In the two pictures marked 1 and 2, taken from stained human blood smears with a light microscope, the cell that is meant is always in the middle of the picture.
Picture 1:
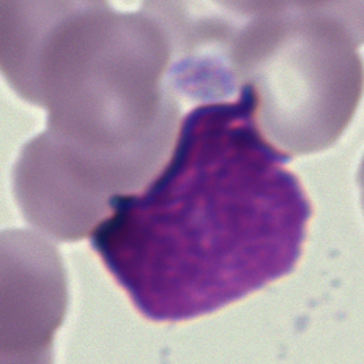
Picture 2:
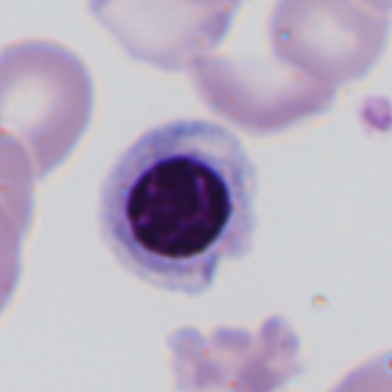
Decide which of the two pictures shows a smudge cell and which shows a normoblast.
1: smudge cell
2: normoblast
